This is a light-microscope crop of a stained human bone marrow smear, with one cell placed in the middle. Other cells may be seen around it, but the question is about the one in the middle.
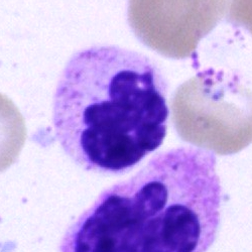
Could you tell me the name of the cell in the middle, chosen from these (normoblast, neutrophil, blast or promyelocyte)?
neutrophil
